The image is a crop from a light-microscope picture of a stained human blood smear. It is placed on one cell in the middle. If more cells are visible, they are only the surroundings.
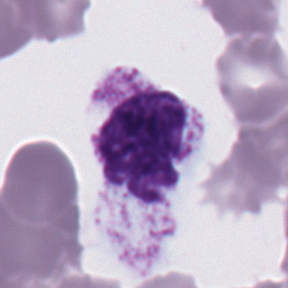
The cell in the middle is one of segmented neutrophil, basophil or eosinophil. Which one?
basophil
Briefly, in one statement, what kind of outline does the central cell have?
An uneven margin is present, with either ragged stretches or outward projections.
